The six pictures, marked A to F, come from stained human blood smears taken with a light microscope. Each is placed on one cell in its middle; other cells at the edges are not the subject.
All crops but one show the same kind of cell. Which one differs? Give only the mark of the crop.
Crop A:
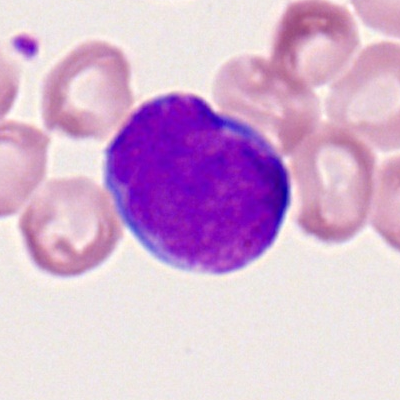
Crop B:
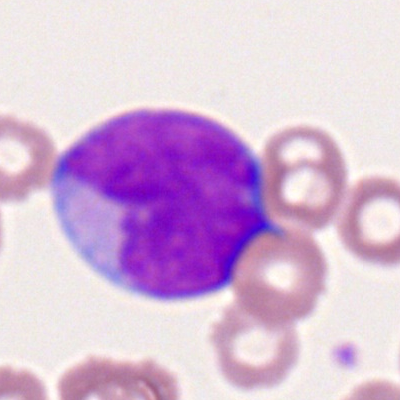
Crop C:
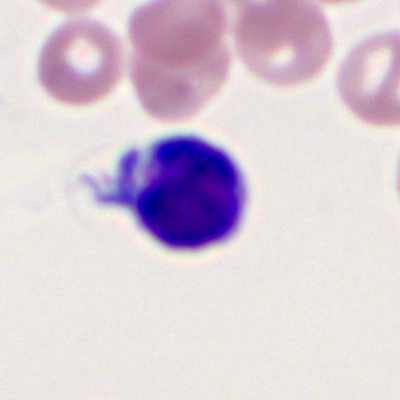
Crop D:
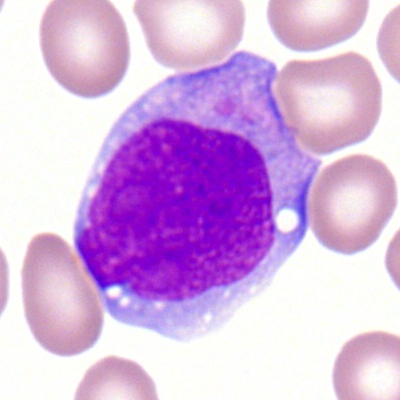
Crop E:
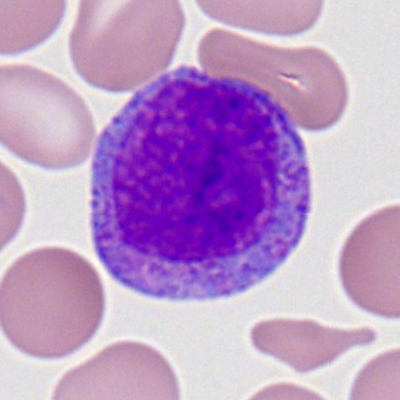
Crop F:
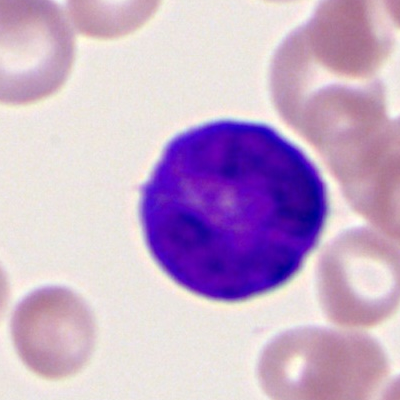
C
